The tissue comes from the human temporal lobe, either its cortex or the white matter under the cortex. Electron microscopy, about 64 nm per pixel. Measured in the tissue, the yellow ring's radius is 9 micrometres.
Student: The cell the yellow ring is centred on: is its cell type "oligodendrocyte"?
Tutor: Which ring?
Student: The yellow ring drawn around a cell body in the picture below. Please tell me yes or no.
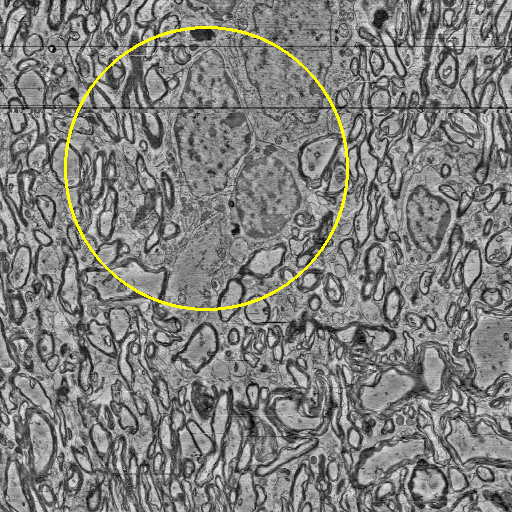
no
